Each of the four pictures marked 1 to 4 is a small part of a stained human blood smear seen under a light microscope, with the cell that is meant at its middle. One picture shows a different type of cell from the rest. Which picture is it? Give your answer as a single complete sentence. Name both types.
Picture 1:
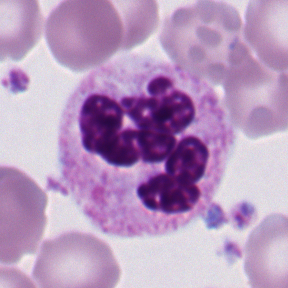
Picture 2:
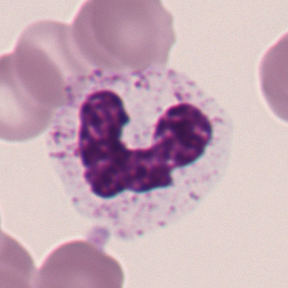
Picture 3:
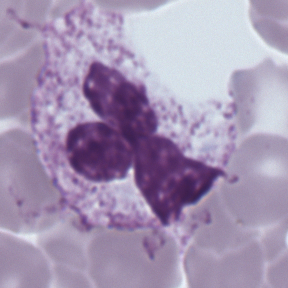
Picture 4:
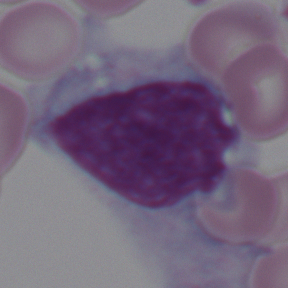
Unlike the rest, which show segmented neutrophils, picture 4 shows a monocyte.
